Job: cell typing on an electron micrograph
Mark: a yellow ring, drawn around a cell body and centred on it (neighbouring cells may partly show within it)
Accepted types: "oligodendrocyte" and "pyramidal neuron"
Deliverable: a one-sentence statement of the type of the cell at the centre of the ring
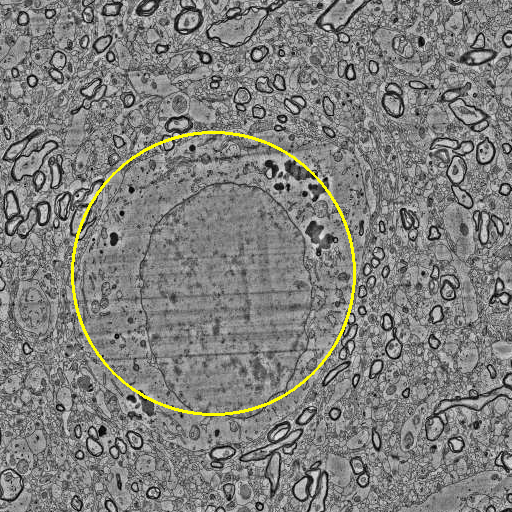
The centred cell body is that of a pyramidal neuron.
